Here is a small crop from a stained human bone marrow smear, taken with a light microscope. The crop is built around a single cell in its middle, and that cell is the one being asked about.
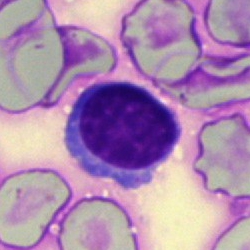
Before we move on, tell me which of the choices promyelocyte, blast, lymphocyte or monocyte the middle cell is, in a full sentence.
Located at the centre of the crop is a lymphocyte.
